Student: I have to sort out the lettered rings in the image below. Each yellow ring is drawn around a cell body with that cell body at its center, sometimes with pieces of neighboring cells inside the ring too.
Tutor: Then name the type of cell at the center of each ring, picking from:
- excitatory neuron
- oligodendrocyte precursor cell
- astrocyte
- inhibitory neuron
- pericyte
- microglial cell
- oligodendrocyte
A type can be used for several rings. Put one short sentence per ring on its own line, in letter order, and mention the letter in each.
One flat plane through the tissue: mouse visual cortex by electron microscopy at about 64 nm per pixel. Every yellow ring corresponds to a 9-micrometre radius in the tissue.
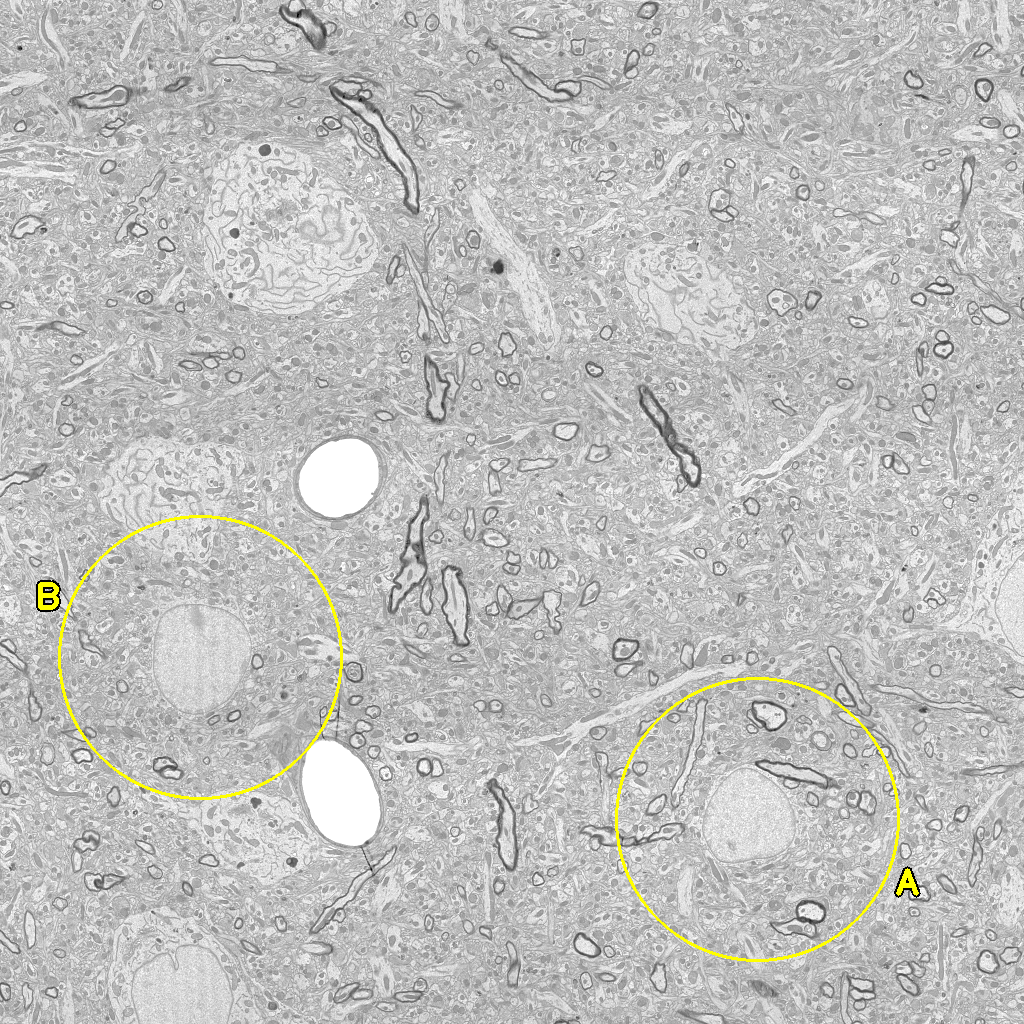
Inside ring A, at its center, is an astrocyte.
Inside ring B, at its center, is an astrocyte.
